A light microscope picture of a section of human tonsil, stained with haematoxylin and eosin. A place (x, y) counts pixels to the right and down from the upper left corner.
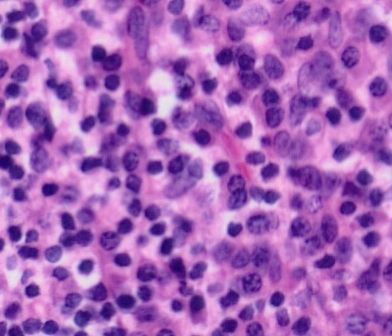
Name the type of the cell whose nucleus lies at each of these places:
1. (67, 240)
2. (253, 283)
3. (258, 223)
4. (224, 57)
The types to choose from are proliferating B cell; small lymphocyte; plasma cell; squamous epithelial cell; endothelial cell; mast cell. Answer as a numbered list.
1. small lymphocyte
2. plasma cell
3. plasma cell
4. plasma cell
